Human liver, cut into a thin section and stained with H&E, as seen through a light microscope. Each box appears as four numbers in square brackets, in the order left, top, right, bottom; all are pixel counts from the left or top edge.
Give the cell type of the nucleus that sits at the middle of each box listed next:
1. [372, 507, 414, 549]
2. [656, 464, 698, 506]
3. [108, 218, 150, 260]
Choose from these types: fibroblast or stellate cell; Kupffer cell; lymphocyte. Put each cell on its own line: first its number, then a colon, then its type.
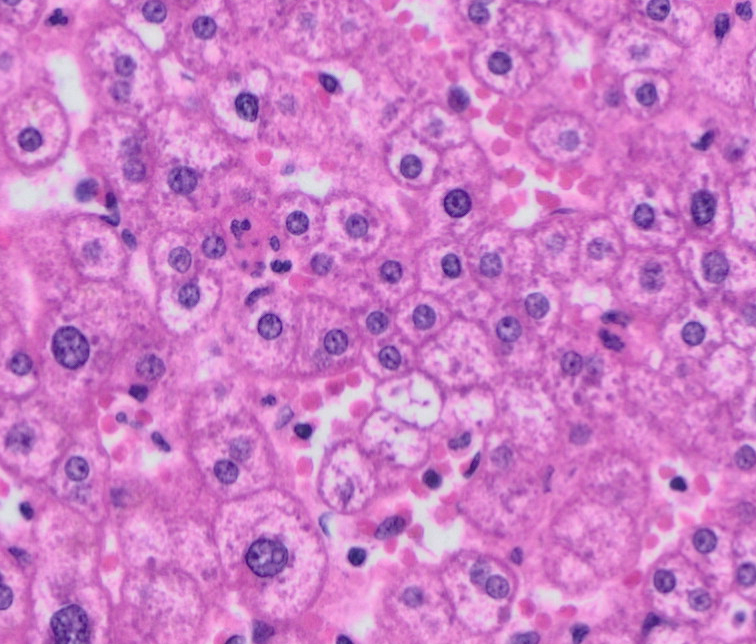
1: Kupffer cell
2: lymphocyte
3: fibroblast or stellate cell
